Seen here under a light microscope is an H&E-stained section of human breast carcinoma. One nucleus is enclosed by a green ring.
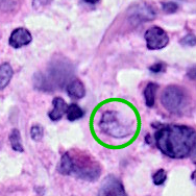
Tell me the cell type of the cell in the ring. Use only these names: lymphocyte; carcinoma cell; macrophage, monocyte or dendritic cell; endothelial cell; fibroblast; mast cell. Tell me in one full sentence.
The classification of the cell in the ring is as a macrophage, monocyte or dendritic cell.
